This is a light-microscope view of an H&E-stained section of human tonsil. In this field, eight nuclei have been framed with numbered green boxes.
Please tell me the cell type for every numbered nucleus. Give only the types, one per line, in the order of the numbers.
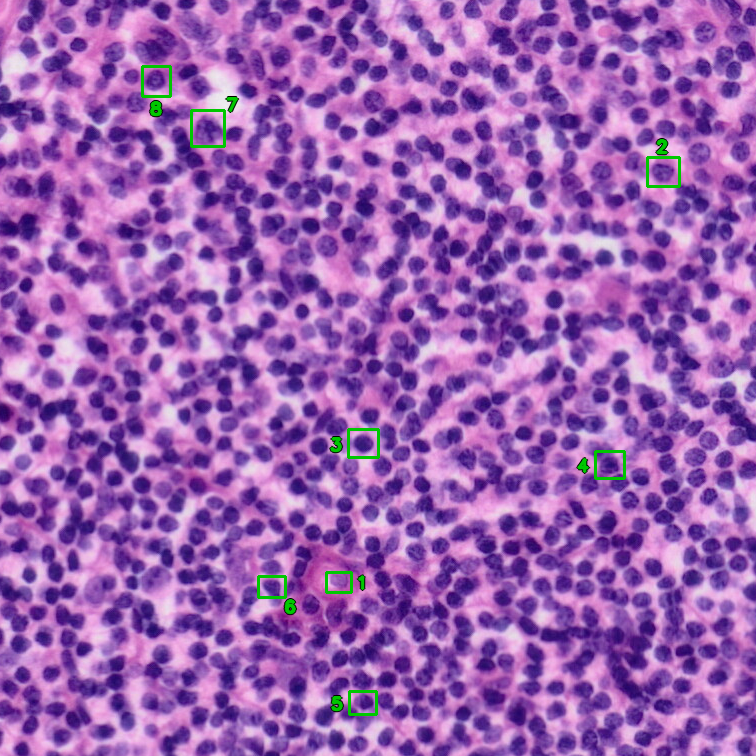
endothelial cell
plasma cell
small lymphocyte
small lymphocyte
small lymphocyte
small lymphocyte
proliferating B cell
plasma cell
